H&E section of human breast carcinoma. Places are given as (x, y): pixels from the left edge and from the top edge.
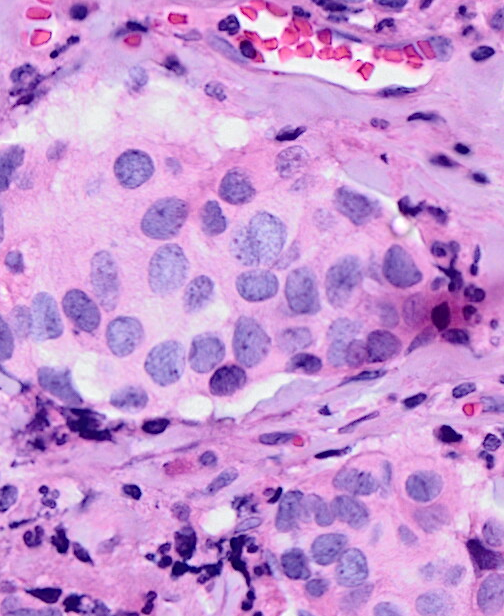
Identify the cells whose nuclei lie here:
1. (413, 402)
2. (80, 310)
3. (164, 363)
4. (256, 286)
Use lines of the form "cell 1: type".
cell 1: lymphocyte
cell 2: carcinoma cell
cell 3: carcinoma cell
cell 4: carcinoma cell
